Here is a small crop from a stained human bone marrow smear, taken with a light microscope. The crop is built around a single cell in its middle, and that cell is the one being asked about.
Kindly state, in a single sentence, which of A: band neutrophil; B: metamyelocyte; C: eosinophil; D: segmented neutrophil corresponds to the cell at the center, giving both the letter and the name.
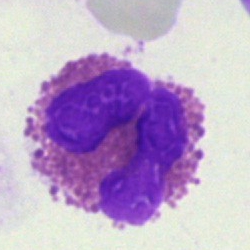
The central cell, an eosinophil, is correctly identified by option C.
